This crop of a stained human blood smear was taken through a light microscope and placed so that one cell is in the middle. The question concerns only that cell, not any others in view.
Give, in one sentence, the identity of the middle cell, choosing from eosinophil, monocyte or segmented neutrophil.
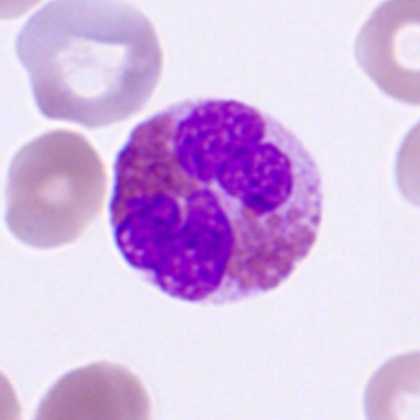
The cell in the exact centre of the crop is an eosinophil.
